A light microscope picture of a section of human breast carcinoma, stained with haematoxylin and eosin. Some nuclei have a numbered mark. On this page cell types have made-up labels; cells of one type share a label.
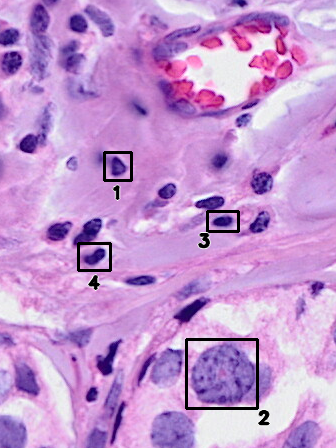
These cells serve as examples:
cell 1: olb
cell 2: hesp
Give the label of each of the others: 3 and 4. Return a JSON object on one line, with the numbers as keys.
{"3": "olb", "4": "olb"}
